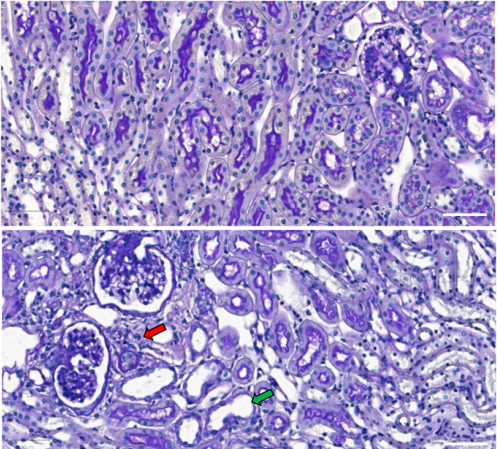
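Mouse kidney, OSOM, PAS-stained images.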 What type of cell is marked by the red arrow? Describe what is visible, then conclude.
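The red arrow points at a cluster of small, dark, round nuclei. The cluster lies in the space between tubules, beside a glomerulus.
Conclusion: peritubular inflammatory cells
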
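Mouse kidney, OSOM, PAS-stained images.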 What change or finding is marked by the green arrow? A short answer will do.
Flattened epithelia.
